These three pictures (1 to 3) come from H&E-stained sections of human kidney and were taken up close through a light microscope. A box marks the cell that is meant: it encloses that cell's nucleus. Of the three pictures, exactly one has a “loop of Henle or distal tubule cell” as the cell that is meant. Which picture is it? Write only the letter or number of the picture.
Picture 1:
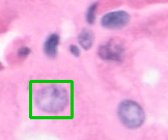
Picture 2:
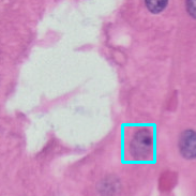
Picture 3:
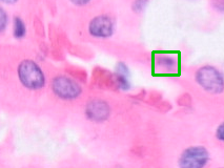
3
